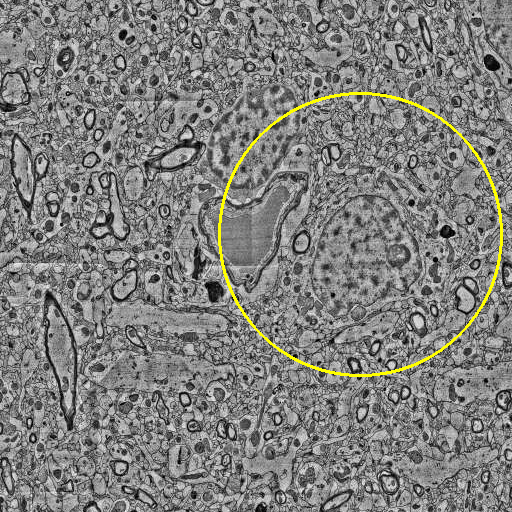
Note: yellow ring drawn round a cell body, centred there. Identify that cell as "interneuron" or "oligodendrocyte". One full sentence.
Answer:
The cell in the middle of the ring is an interneuron.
